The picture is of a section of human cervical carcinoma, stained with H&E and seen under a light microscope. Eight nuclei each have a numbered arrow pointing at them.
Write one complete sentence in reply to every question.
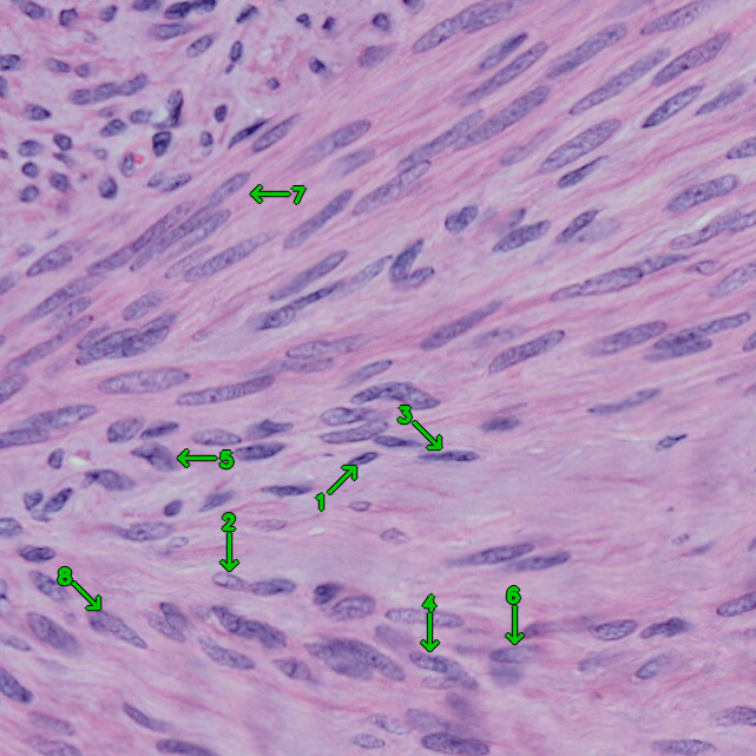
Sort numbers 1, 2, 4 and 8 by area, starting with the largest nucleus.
The nuclei rank 8, 4, 2, 1, from largest to smallest.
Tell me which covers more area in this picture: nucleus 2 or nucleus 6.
Nucleus 6 is larger, with an area about 1.5 times that of nucleus 2.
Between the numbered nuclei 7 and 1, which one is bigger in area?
Nucleus 7 is the larger one, covering about 3 times the area of nucleus 1.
